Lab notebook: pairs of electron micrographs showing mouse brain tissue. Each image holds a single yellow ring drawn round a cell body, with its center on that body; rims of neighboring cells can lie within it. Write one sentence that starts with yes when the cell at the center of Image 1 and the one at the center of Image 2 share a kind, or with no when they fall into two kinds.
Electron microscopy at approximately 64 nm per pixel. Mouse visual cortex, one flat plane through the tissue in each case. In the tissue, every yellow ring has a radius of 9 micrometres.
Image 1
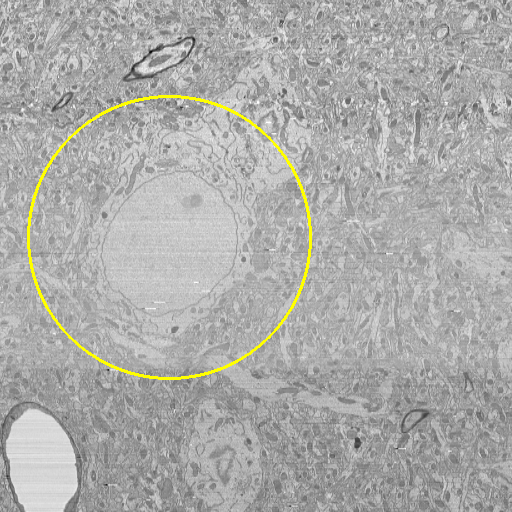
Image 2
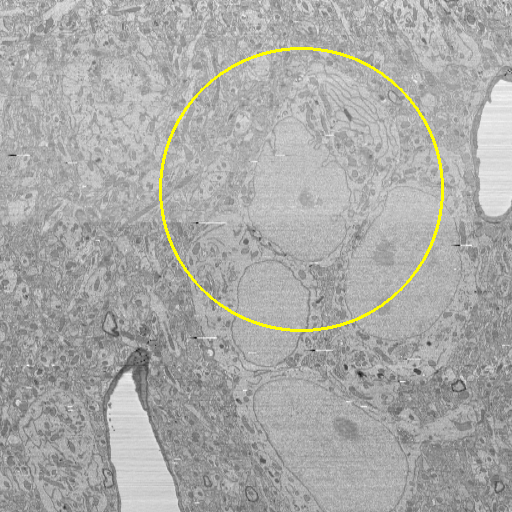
No, the centered cell in Image 1 and the centered cell in Image 2 are of two kinds.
